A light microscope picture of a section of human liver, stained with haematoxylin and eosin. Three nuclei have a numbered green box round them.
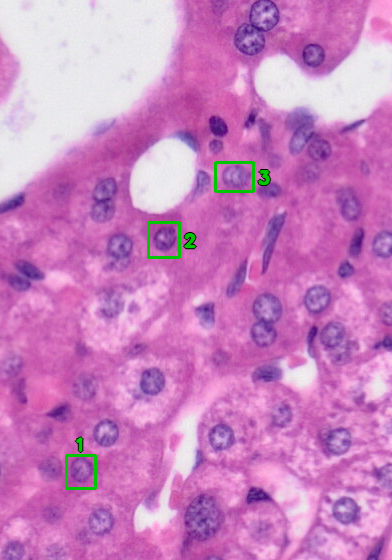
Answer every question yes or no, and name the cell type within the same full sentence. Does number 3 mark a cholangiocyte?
Yes, number 3 corresponds to a cholangiocyte.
